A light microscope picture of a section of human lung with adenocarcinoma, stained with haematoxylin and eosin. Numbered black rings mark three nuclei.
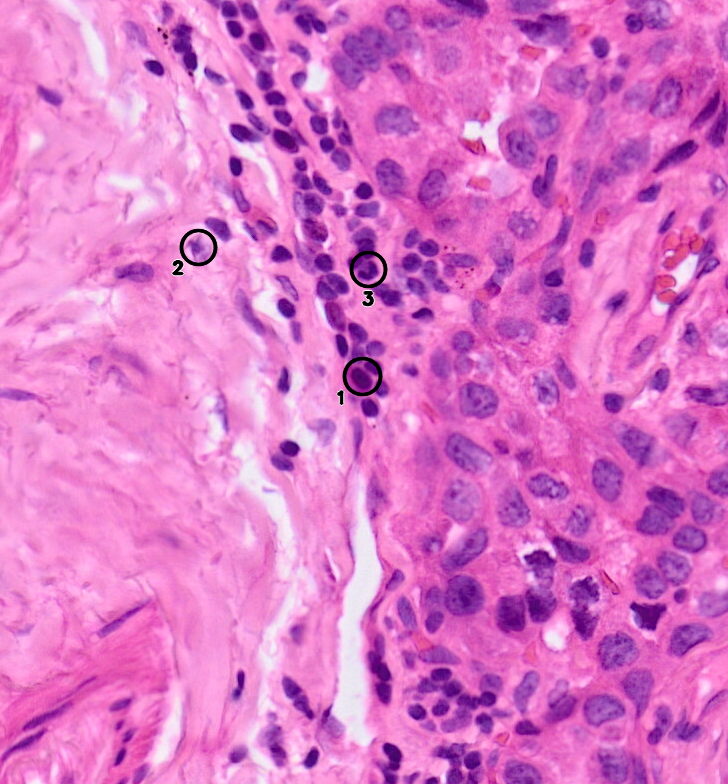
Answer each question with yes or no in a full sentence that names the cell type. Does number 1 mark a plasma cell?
Yes, the cell that bears number 1 is a plasma cell.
